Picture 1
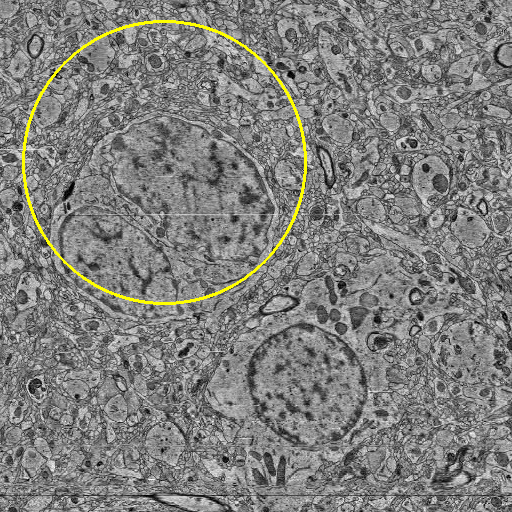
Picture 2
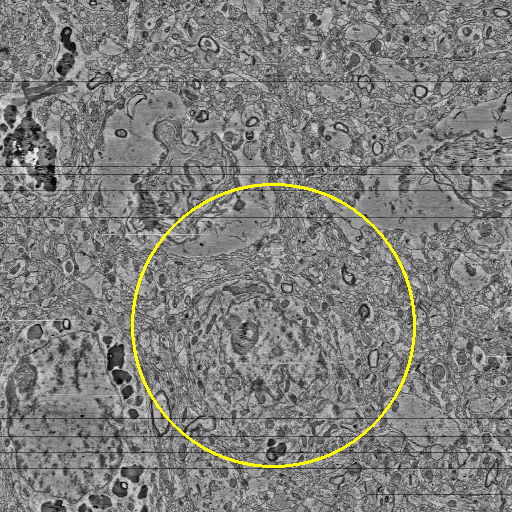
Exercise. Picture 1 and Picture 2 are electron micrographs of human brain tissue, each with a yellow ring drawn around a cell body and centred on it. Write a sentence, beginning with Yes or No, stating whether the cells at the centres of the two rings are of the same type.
Yes, the cells at the centres of both rings are of the same type.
